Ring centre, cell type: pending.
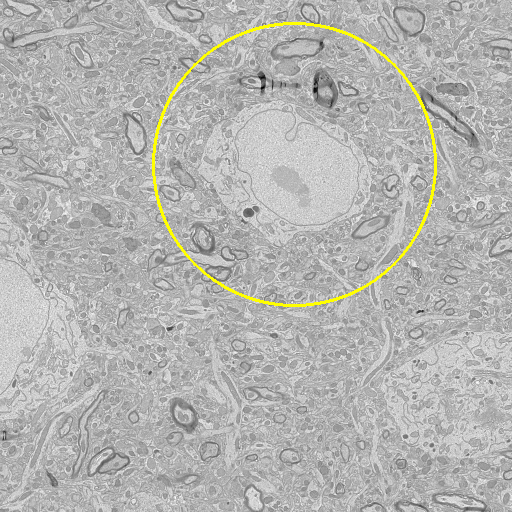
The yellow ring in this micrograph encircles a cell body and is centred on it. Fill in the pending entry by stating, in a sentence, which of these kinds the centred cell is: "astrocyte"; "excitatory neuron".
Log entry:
The centred cell is recorded as an excitatory neuron.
